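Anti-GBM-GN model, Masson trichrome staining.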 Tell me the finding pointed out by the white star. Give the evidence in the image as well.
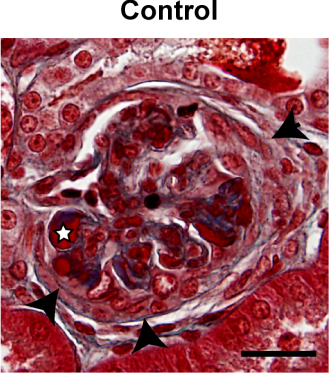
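Endocapillary fibrin deposit. The star sits on deep red, homogeneous material inside the glomerular tuft.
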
